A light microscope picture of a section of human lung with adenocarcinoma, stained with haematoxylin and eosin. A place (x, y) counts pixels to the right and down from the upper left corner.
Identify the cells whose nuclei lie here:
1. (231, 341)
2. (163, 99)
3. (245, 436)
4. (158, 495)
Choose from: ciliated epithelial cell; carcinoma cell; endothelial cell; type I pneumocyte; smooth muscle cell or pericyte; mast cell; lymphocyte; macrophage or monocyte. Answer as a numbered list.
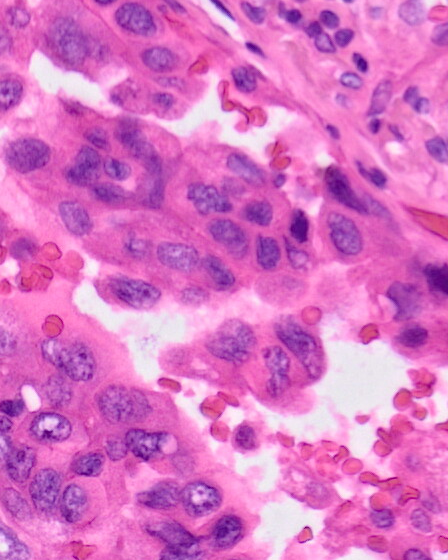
1. carcinoma cell
2. carcinoma cell
3. macrophage or monocyte
4. carcinoma cell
